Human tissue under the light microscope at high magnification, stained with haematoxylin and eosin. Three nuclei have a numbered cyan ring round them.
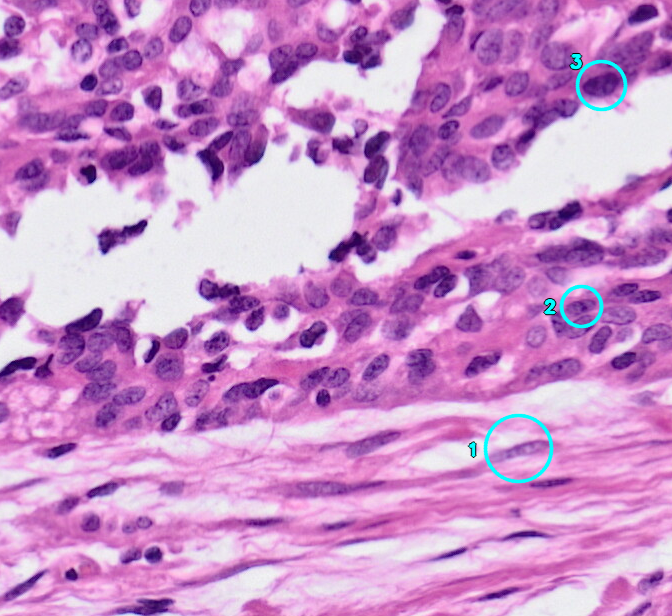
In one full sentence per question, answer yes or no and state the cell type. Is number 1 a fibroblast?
Yes, it checks out; the cell labelled 1 is a fibroblast.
